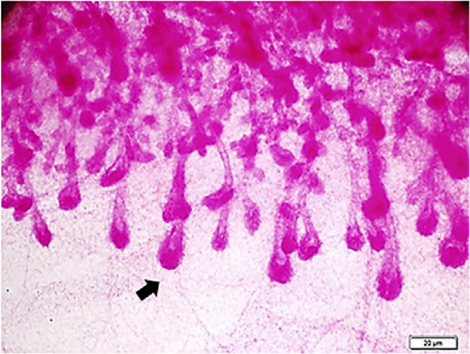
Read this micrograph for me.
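This is a stained preparation of the mammary gland at its outer margin, with a dense ductal network ending in a row of terminal end buds. The upper part is crowded with intensely pink, overlapping ducts and branches. From this mass many ducts run downward side by side and each ends in a teardrop-shaped, densely stained bulb. Below the row of bulbs lies pale background with only fine fibres.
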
